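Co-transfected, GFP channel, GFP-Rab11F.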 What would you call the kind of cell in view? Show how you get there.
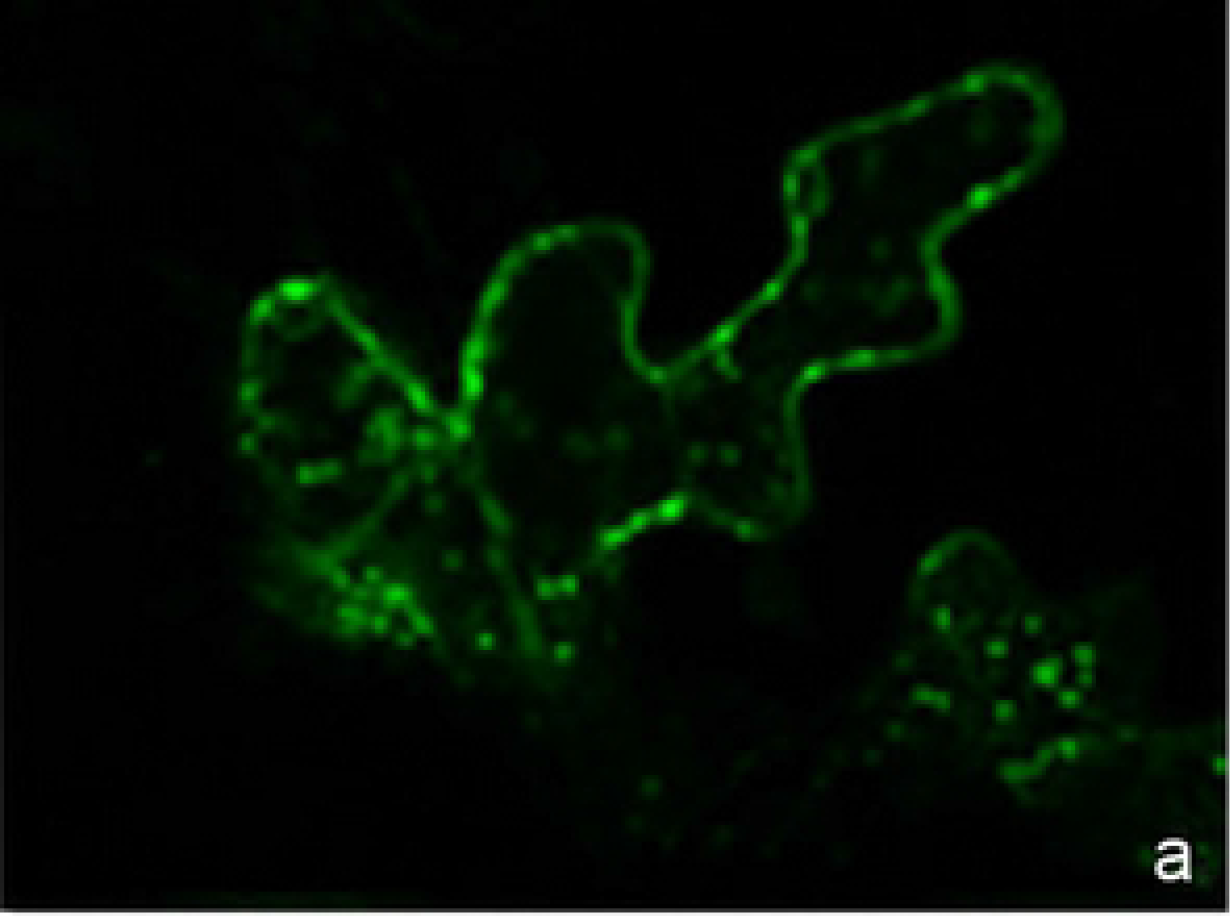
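Cell outlines are wavy with lobes, like jigsaw-puzzle pieces. Fluorescent dots lie along the thin peripheral cytoplasm at the cell edges.
Hence: leaf epidermal cells.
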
